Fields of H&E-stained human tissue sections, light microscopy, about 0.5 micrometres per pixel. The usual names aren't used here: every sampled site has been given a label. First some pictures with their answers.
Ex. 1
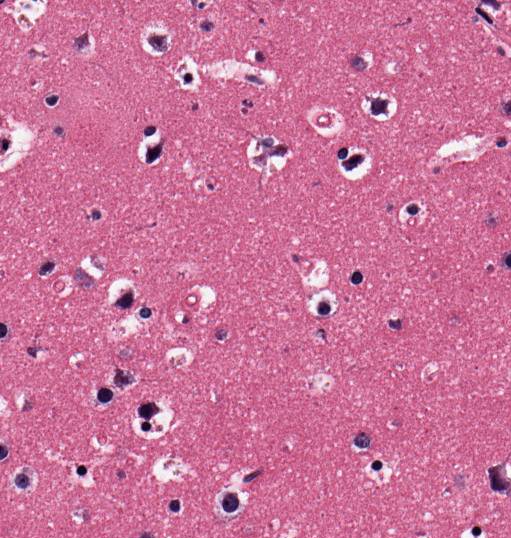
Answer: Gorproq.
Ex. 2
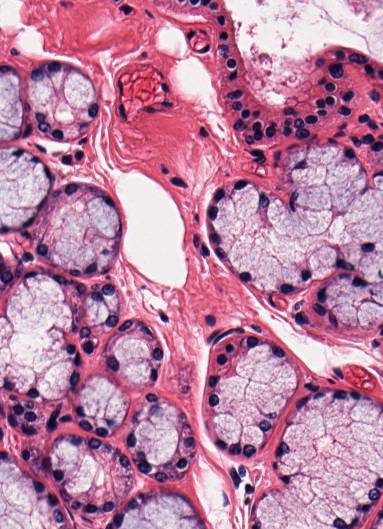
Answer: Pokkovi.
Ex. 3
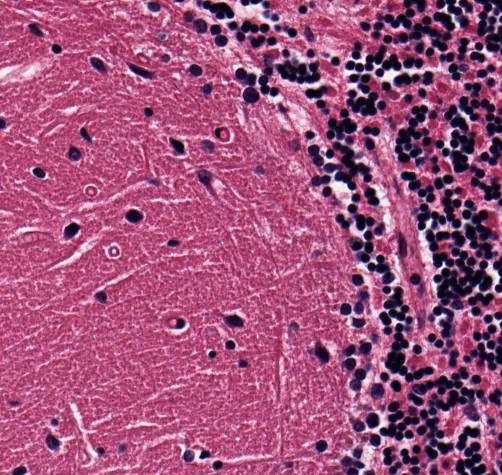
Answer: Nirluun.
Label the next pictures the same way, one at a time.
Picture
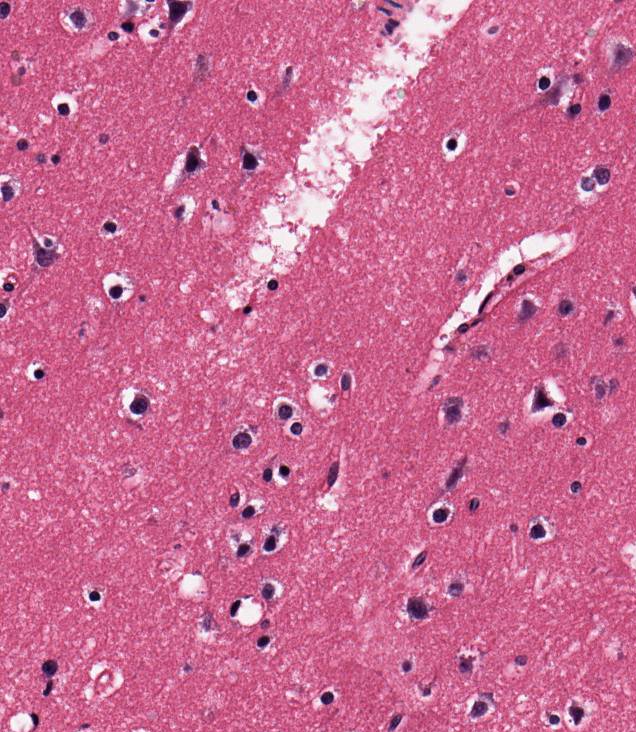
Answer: Gorproq.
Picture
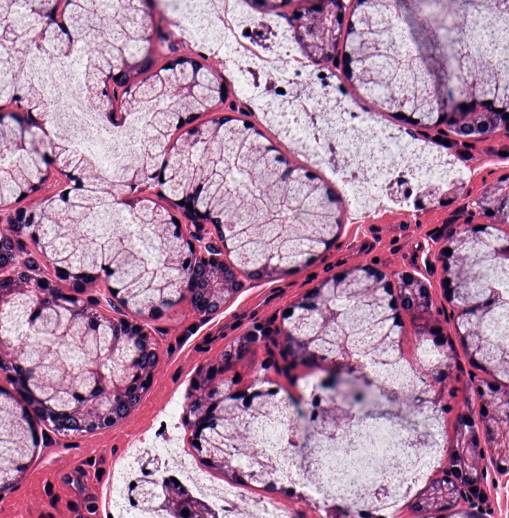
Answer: Pokkovi.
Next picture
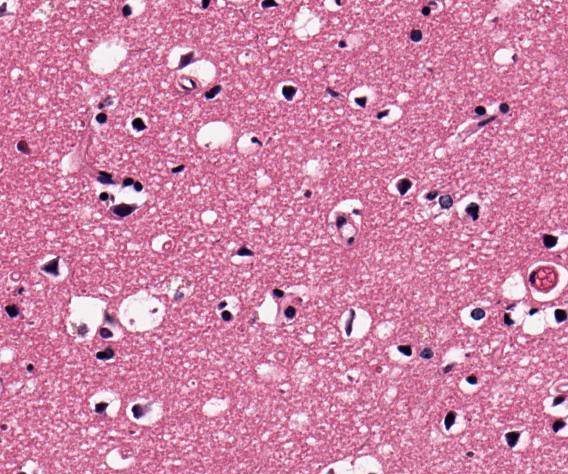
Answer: Gorproq.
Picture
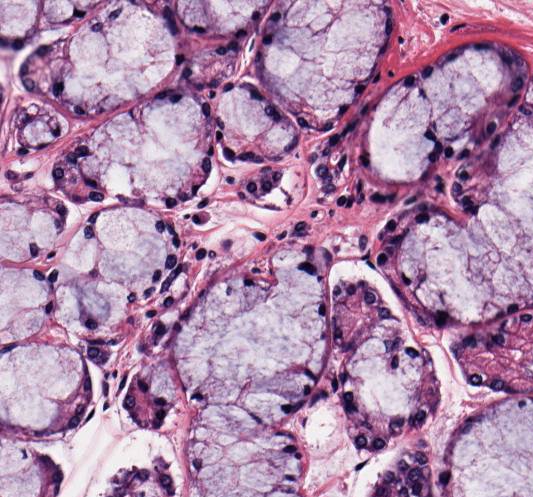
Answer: Pokkovi.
